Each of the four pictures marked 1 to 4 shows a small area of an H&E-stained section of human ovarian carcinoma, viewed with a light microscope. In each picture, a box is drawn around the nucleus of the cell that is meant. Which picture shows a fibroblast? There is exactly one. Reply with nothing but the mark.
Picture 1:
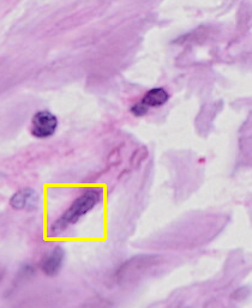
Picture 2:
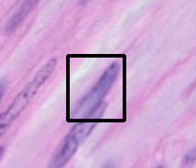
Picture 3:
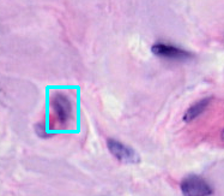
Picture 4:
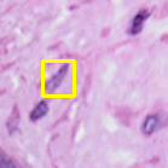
4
